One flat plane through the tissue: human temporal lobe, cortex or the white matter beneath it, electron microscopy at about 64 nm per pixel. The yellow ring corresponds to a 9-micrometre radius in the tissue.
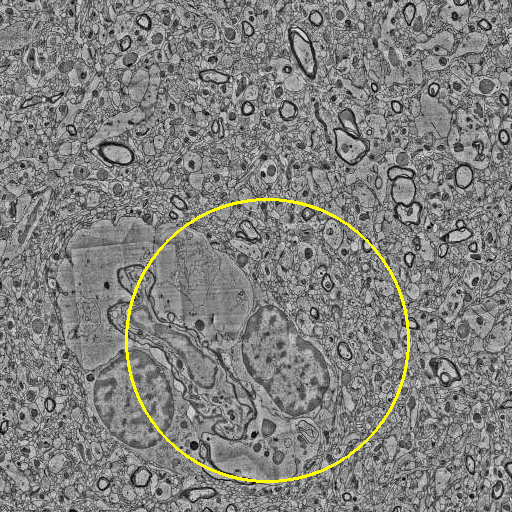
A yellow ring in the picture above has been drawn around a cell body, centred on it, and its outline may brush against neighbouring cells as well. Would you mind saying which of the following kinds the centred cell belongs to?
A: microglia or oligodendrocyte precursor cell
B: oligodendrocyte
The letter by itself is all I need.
A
